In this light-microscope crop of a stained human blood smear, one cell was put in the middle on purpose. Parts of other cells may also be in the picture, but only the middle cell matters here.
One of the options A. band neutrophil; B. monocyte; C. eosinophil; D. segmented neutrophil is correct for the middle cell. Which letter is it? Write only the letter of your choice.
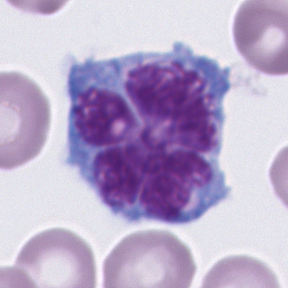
B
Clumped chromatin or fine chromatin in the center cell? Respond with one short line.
If you check the nucleus, you will find the chromatin coarsely clumped.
